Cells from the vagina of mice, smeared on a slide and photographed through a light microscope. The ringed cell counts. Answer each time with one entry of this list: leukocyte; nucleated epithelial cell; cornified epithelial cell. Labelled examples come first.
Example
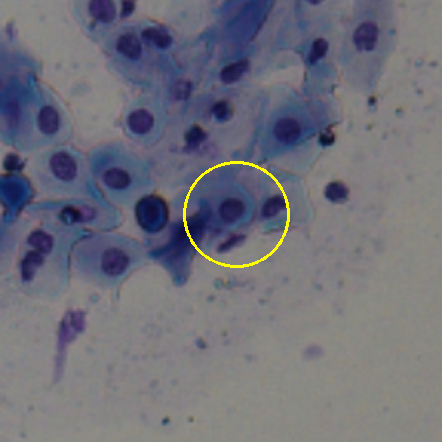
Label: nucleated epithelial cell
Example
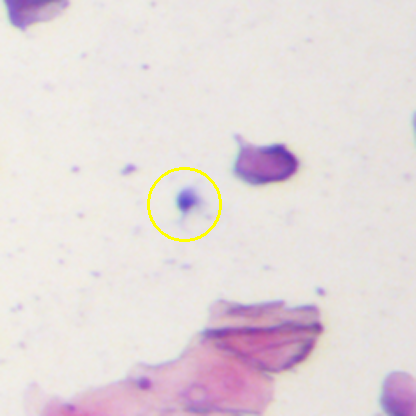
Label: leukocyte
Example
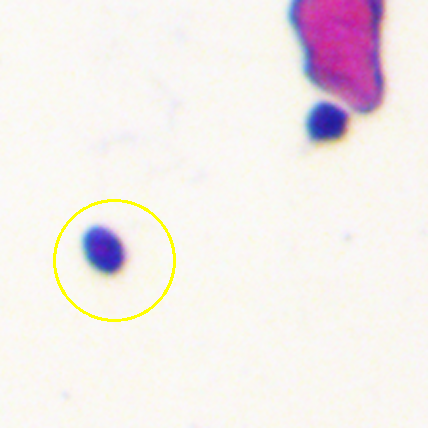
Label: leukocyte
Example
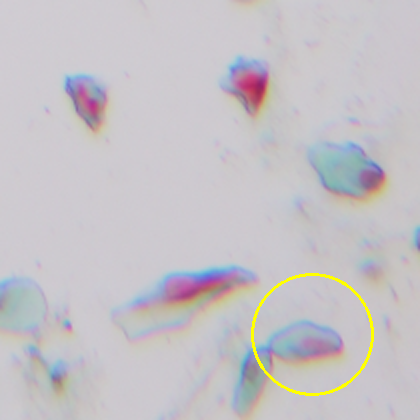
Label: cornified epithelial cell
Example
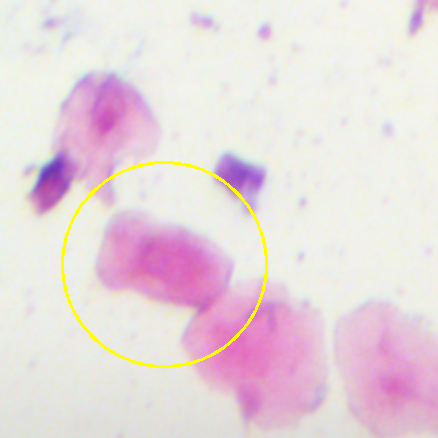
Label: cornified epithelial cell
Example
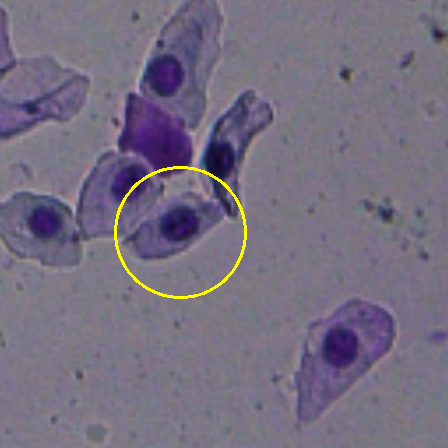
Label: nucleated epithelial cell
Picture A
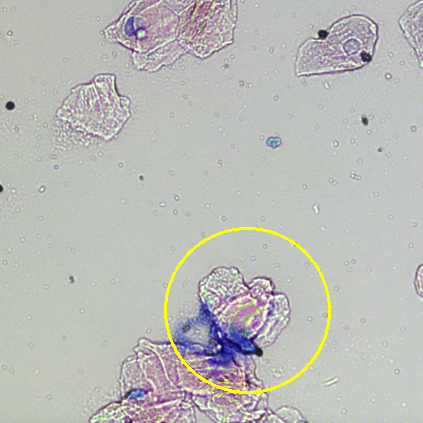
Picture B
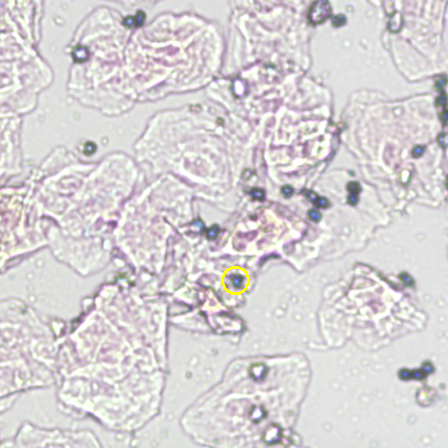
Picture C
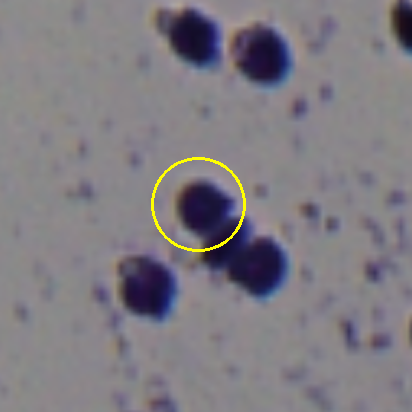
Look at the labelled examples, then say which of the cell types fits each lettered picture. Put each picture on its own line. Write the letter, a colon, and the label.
A: cornified epithelial cell
B: leukocyte
C: leukocyte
